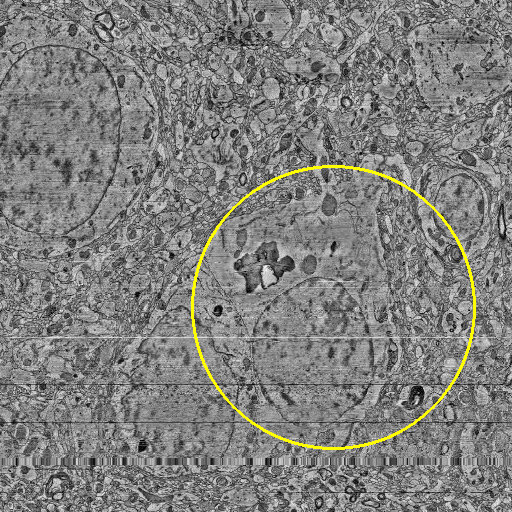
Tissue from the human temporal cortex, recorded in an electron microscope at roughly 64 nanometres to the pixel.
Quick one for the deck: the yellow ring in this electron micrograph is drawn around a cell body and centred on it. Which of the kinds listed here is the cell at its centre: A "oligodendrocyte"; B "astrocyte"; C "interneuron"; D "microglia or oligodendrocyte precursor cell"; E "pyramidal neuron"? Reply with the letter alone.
B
